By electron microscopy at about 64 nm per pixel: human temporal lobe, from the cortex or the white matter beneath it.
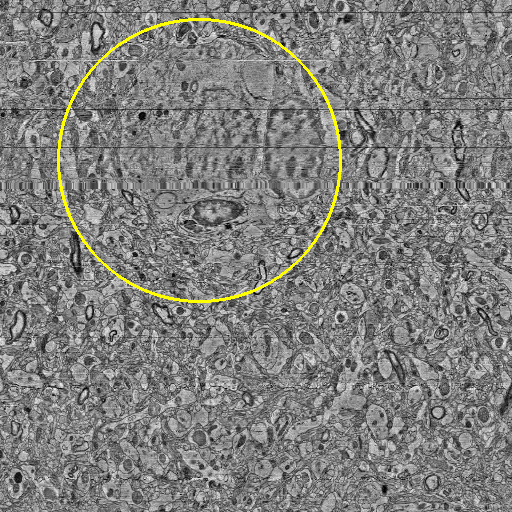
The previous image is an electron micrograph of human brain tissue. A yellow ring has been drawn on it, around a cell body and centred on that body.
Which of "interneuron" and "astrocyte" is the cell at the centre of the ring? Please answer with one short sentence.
The cell body at the centre of the ring belongs to an interneuron.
